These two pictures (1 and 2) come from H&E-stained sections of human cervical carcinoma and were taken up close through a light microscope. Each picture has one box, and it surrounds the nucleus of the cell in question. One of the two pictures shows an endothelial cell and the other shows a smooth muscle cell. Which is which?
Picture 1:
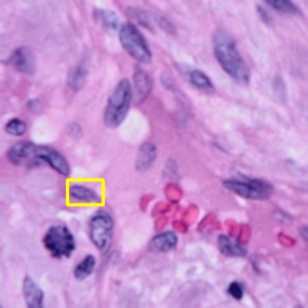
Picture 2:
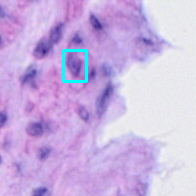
1: endothelial cell
2: smooth muscle cell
